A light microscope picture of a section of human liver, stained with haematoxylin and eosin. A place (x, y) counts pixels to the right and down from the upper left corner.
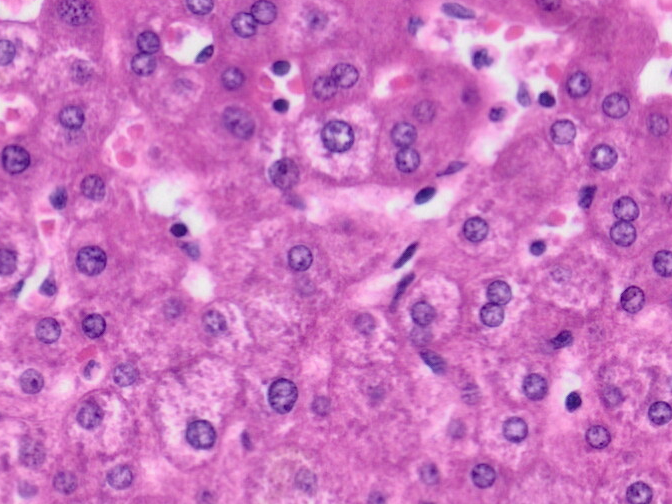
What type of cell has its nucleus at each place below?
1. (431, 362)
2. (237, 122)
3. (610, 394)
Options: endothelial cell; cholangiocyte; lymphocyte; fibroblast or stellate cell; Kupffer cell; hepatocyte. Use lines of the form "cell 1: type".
cell 1: endothelial cell
cell 2: hepatocyte
cell 3: hepatocyte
